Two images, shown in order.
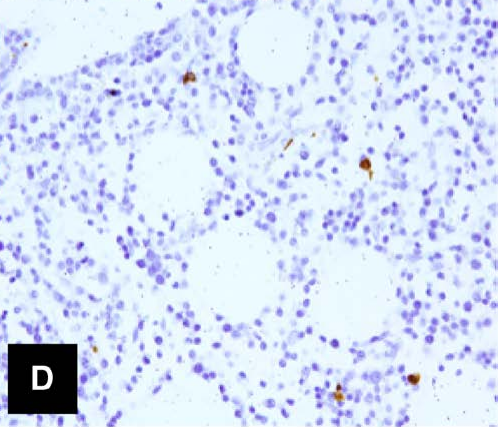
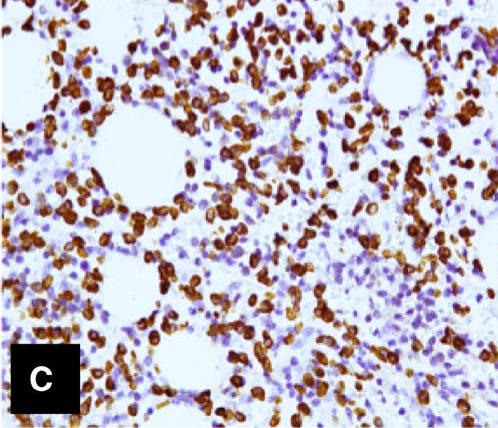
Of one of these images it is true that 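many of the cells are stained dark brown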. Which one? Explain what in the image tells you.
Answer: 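The second image. First image: nearly all cells are blue, with only a few tiny brown specks. Second image: a large share of the cells are solidly dark brown.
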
